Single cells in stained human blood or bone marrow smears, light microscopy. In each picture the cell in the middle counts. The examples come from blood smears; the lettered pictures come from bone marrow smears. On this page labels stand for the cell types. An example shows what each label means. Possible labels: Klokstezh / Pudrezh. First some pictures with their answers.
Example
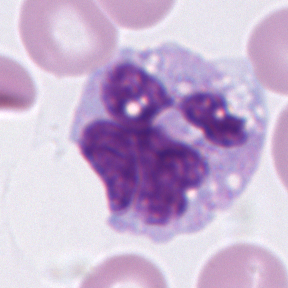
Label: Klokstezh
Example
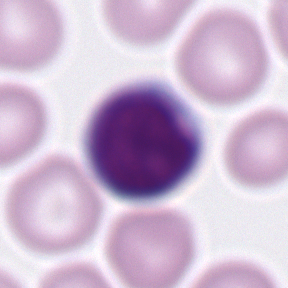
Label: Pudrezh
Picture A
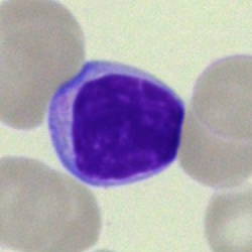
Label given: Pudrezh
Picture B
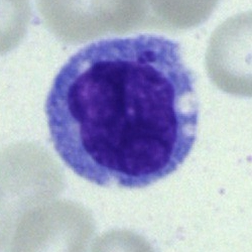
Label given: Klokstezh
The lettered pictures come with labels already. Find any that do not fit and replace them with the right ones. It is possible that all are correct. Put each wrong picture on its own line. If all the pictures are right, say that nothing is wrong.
All labels are correct.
